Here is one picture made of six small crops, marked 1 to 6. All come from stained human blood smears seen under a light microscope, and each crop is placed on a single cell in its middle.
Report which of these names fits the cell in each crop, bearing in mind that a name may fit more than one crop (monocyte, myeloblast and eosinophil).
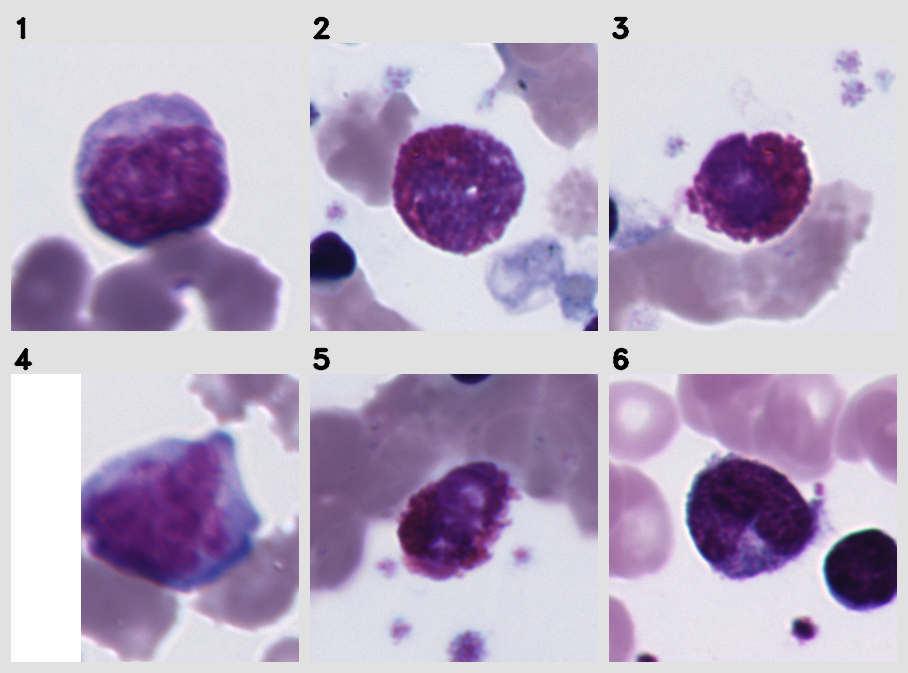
1: myeloblast
2: eosinophil
3: eosinophil
4: myeloblast
5: eosinophil
6: monocyte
